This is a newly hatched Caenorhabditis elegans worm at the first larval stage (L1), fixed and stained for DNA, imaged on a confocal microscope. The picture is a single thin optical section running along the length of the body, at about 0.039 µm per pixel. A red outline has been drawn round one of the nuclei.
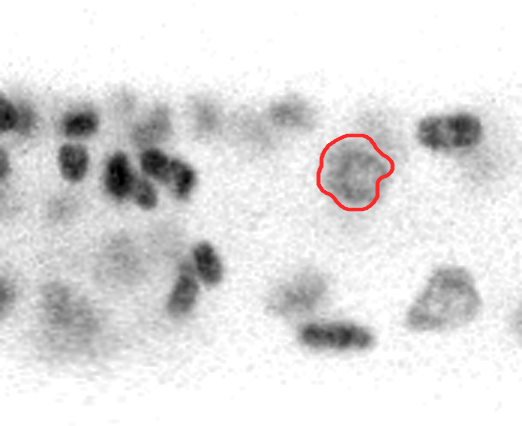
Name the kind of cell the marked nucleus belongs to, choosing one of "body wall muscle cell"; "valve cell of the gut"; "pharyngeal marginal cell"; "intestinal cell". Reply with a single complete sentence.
It is the nucleus of an intestinal cell.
